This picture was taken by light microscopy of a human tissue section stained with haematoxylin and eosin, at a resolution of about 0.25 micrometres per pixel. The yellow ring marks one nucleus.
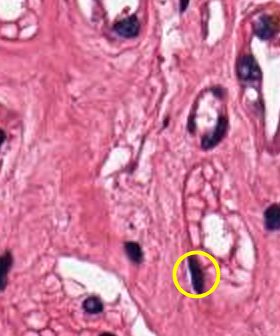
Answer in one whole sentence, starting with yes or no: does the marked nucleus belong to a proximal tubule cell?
No, the cell whose nucleus is marked is a supporting cell and not a proximal tubule cell.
